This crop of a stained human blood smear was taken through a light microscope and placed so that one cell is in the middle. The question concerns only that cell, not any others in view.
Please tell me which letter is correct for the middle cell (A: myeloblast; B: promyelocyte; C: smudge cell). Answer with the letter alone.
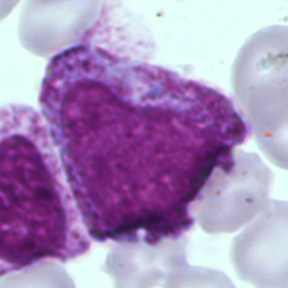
B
